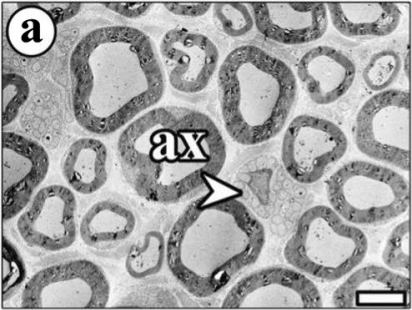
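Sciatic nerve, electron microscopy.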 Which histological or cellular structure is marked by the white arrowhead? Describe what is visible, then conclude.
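A cluster of small pale profiles without dark rings lies at the arrowhead. The profiles are grouped together between large dark-ringed fibers. So: unmyelinated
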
